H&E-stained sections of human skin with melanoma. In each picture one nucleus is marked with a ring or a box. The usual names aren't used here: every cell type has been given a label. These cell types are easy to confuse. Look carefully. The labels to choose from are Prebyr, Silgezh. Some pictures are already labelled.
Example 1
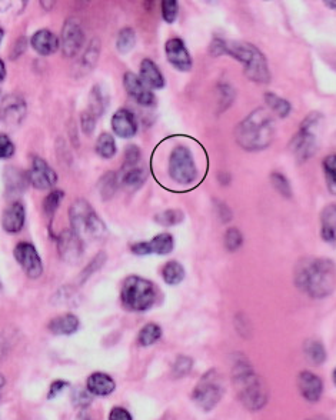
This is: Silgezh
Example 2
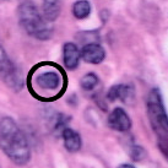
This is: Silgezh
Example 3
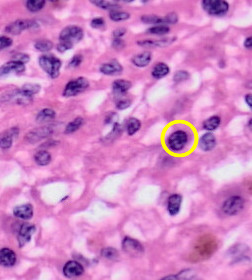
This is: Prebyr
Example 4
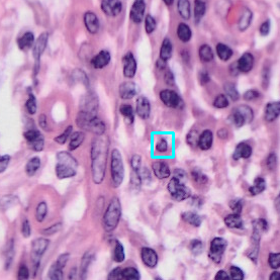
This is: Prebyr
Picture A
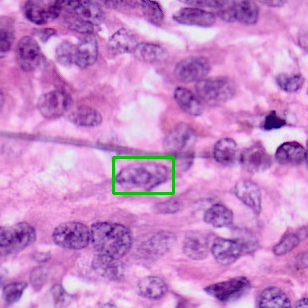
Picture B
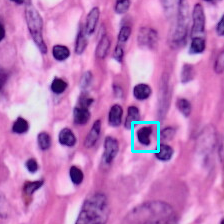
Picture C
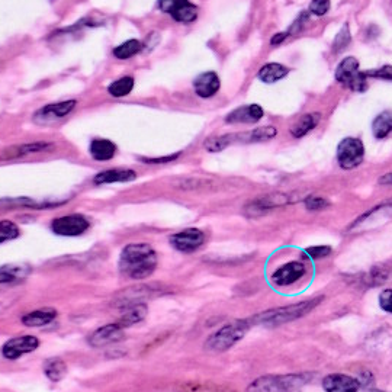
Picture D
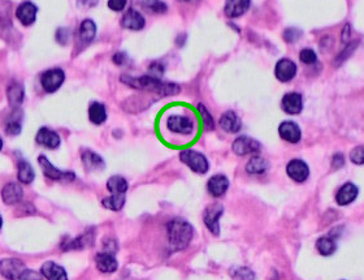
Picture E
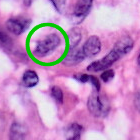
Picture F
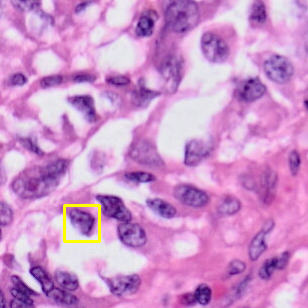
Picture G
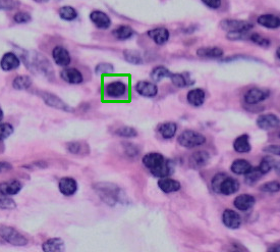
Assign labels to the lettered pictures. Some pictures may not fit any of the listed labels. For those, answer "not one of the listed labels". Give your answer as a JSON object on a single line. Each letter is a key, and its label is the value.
{"A": "not one of the listed labels", "B": "Silgezh", "C": "Prebyr", "D": "Silgezh", "E": "not one of the listed labels", "F": "not one of the listed labels", "G": "Prebyr"}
